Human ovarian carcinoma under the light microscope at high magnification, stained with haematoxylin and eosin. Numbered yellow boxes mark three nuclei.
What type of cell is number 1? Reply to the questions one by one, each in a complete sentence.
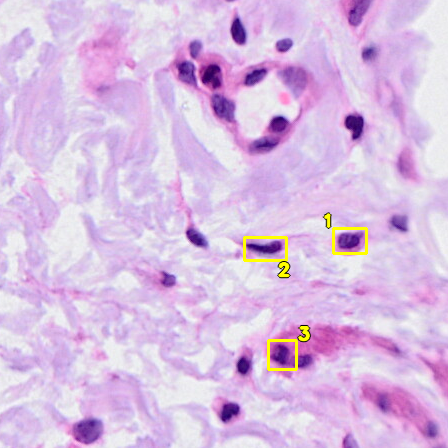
Heads up, the cell numbered 1 is a macrophage or monocyte.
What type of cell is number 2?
The cell marked with the number 2 is a fibroblast.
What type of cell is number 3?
Among the marked cells, number 3 is a smooth muscle cell.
